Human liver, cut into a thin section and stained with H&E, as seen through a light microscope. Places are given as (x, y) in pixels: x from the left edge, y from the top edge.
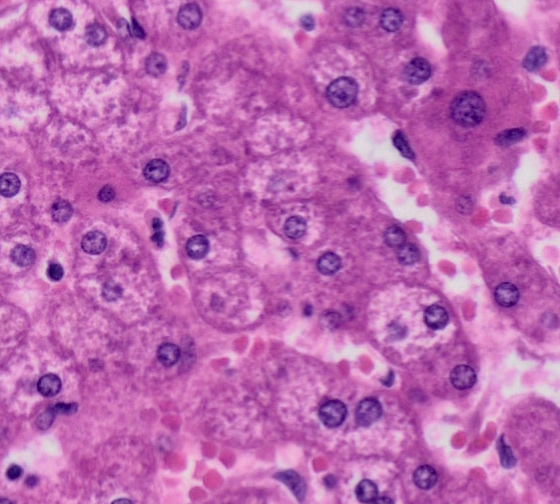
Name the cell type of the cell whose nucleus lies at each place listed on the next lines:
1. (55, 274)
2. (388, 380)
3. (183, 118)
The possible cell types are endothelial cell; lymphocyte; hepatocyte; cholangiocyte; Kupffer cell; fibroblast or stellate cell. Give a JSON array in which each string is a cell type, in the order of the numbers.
["lymphocyte", "endothelial cell", "endothelial cell"]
